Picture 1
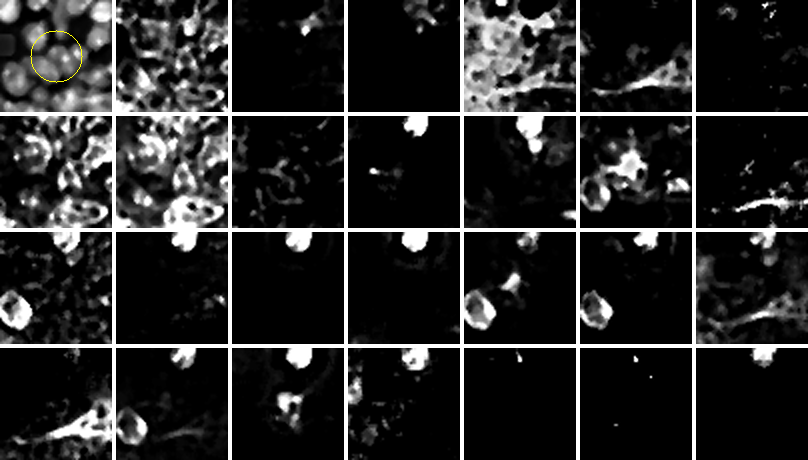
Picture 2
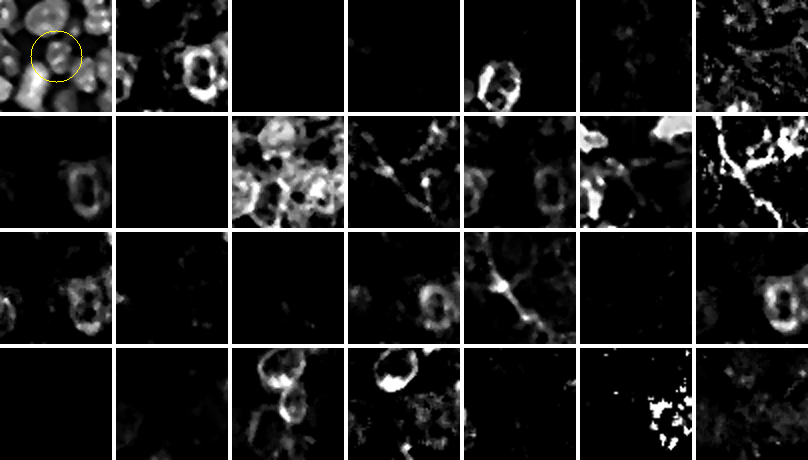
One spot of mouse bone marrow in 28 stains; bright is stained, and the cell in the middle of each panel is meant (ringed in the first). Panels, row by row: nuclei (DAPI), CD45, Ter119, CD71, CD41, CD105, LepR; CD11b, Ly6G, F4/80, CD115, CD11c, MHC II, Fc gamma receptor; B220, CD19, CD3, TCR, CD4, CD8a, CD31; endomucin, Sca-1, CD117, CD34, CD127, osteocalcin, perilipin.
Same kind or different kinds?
Different: the first is a megakaryocyte progenitor, the second a granulocyte-monocyte progenitor.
